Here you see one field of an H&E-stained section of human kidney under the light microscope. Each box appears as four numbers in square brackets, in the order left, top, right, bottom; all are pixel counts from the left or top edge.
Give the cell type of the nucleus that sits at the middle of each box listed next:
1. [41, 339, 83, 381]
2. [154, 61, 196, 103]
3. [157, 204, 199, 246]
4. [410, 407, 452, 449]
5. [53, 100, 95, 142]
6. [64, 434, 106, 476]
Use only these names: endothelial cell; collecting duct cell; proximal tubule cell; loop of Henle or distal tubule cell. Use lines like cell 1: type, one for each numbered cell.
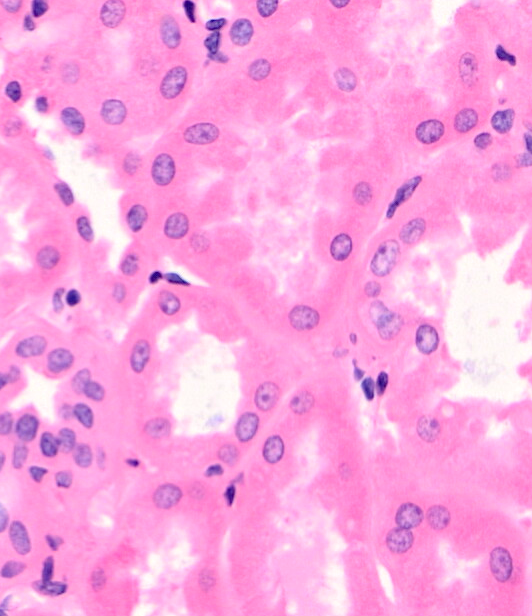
cell 1: collecting duct cell
cell 2: proximal tubule cell
cell 3: proximal tubule cell
cell 4: proximal tubule cell
cell 5: loop of Henle or distal tubule cell
cell 6: collecting duct cell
